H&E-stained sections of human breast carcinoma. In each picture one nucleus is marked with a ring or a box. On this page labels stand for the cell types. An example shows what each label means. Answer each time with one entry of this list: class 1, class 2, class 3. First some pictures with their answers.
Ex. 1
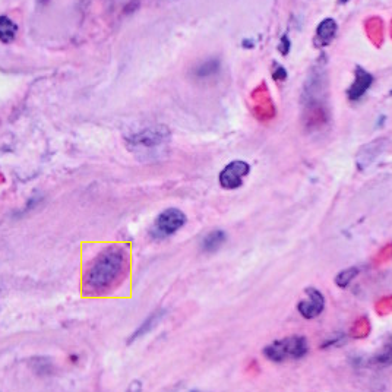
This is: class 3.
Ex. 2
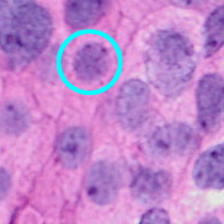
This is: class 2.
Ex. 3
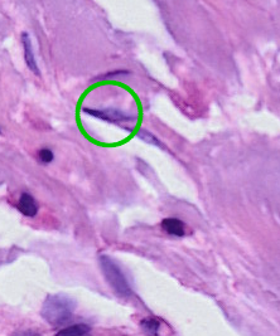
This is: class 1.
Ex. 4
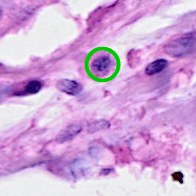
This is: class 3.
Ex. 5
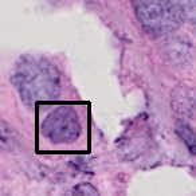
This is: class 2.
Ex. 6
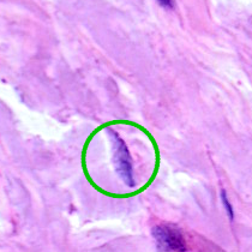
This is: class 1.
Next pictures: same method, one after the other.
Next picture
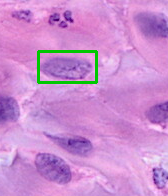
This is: class 1.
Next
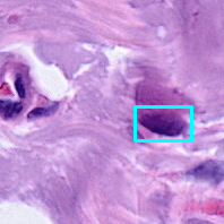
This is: class 1.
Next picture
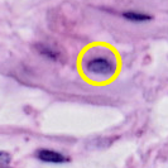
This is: class 3.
